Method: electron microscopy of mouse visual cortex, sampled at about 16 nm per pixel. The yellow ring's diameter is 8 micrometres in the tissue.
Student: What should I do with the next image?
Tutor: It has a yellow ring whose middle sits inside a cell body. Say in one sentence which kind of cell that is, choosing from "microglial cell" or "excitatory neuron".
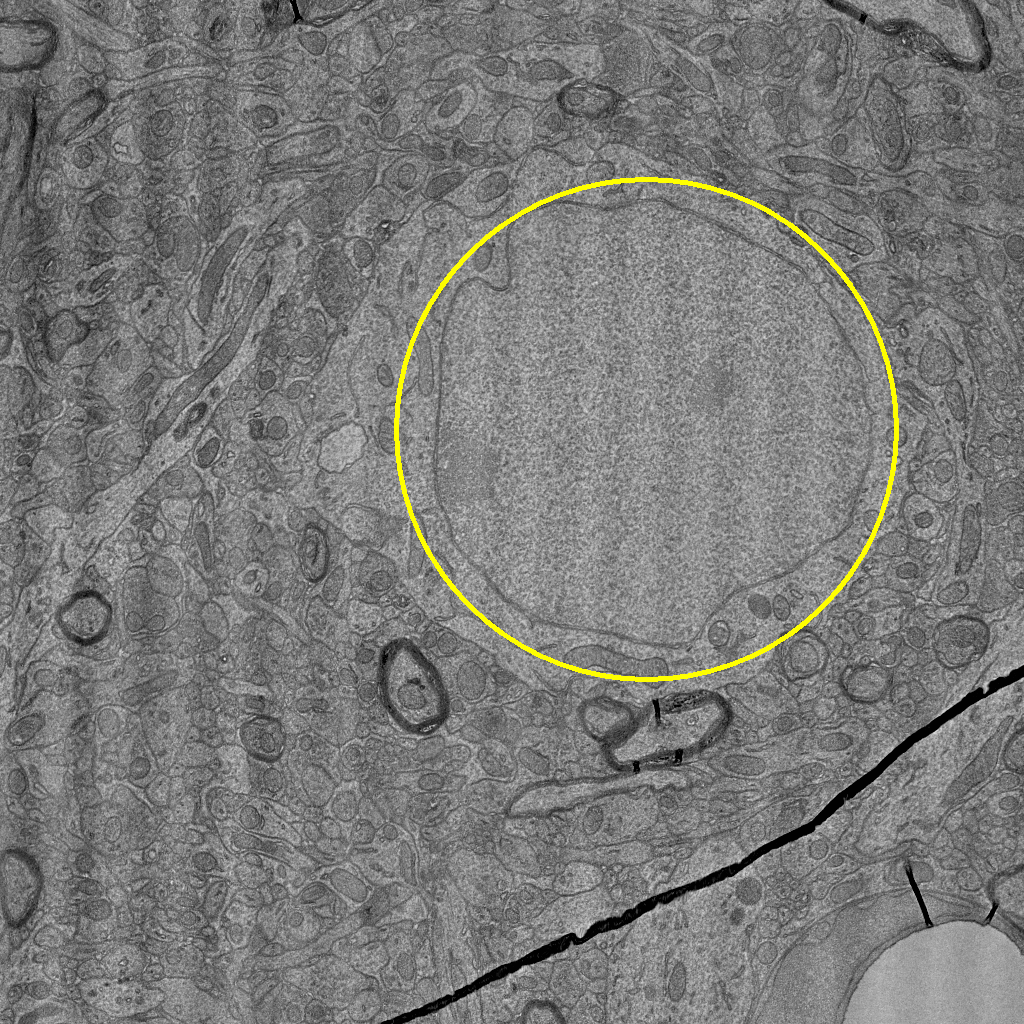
The ring's centre is occupied by an excitatory neuron.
